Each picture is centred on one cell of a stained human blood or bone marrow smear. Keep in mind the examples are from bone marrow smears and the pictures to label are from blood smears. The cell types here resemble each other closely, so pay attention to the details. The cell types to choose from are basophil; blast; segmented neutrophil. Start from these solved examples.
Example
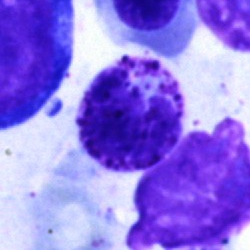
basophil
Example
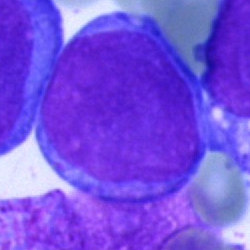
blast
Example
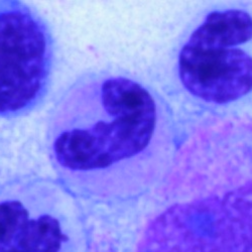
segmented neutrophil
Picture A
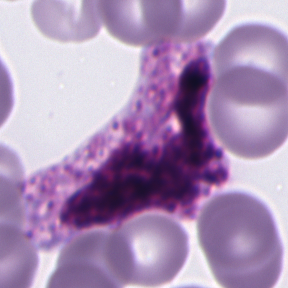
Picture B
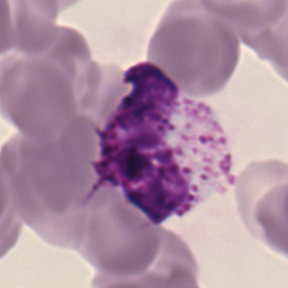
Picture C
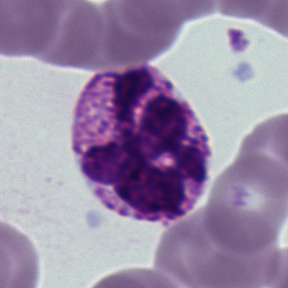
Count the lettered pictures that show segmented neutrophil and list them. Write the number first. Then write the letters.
0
